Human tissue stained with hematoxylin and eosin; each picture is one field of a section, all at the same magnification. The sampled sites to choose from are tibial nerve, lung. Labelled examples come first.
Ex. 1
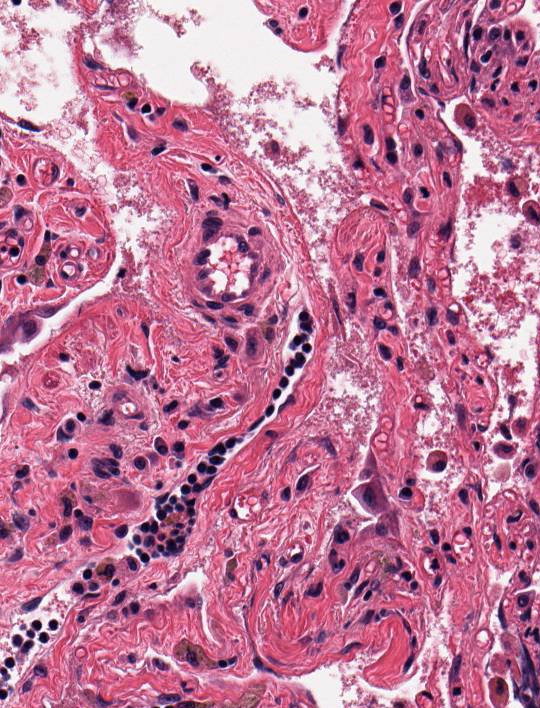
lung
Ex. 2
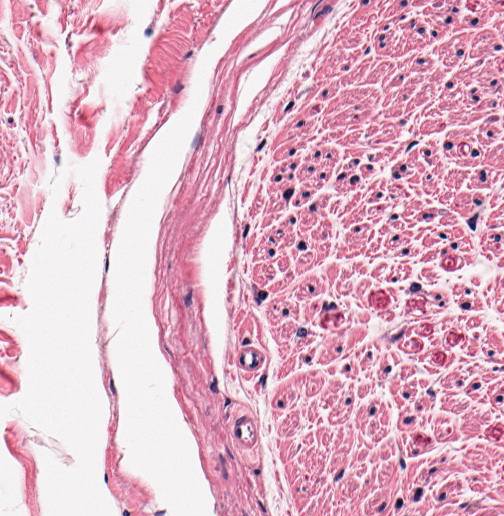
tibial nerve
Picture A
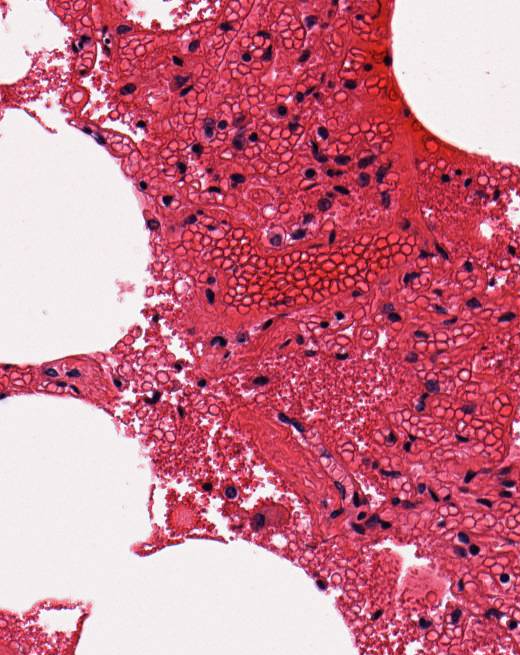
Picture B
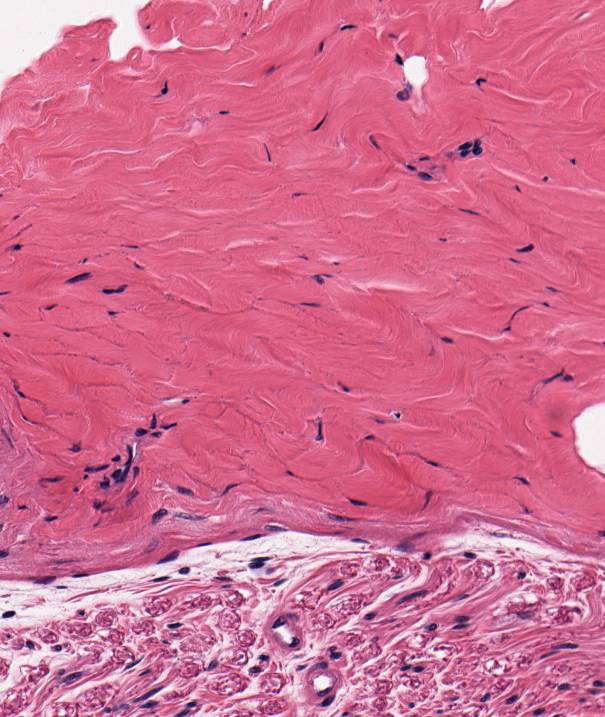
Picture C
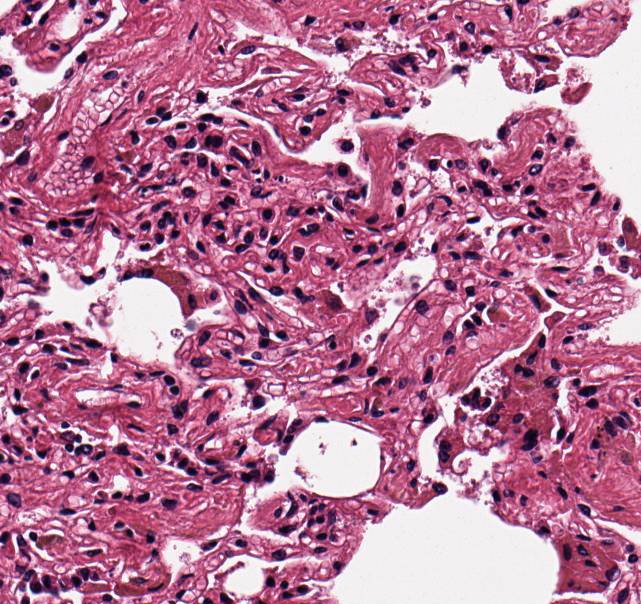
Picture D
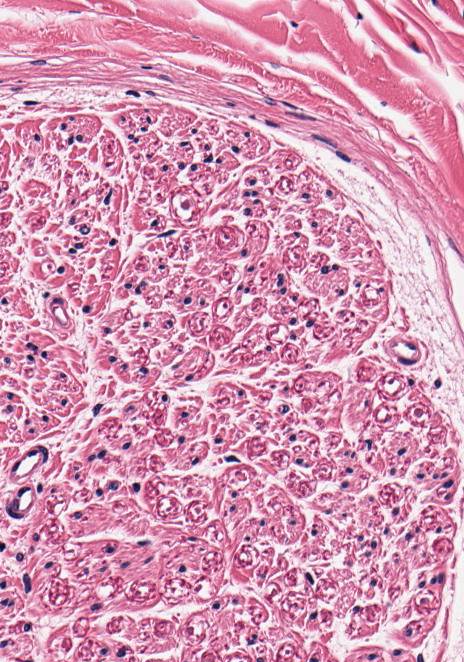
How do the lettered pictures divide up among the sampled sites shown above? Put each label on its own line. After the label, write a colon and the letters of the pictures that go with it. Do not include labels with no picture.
tibial nerve: B, D
lung: A, C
